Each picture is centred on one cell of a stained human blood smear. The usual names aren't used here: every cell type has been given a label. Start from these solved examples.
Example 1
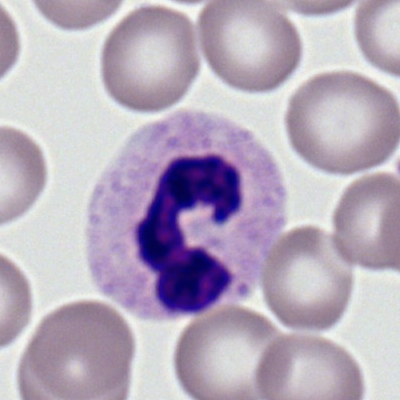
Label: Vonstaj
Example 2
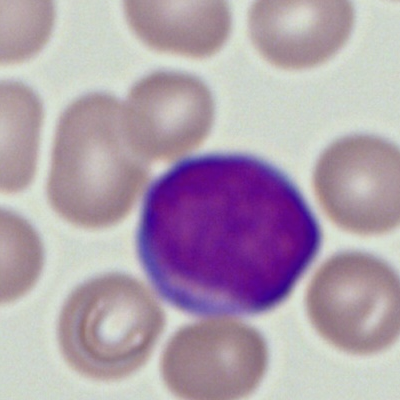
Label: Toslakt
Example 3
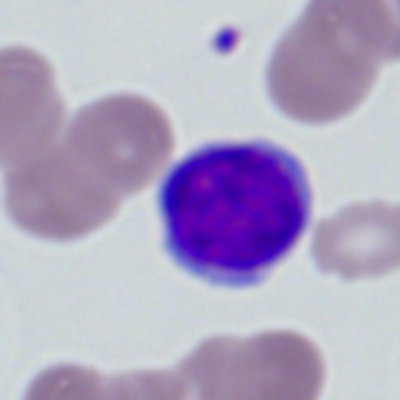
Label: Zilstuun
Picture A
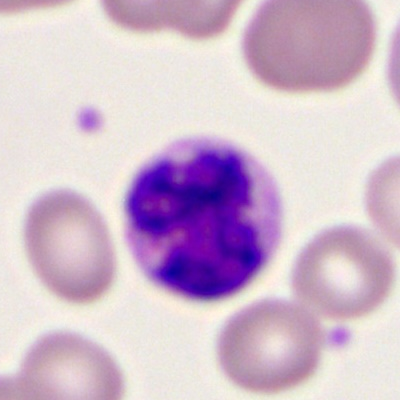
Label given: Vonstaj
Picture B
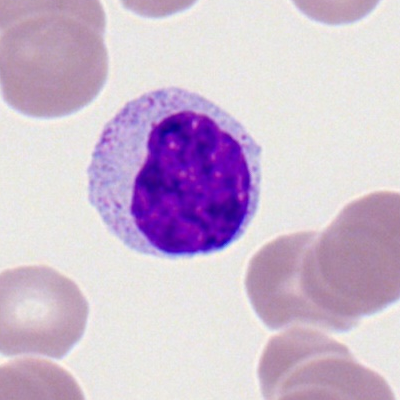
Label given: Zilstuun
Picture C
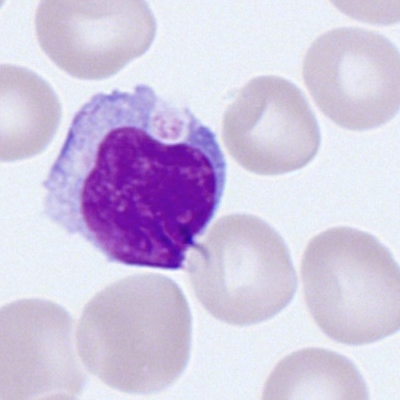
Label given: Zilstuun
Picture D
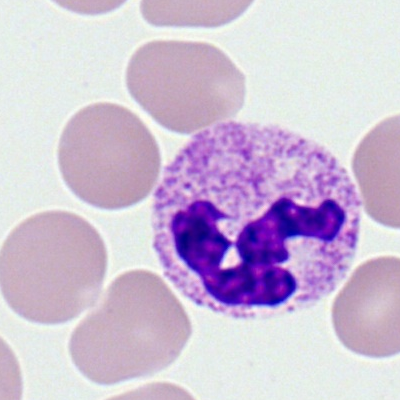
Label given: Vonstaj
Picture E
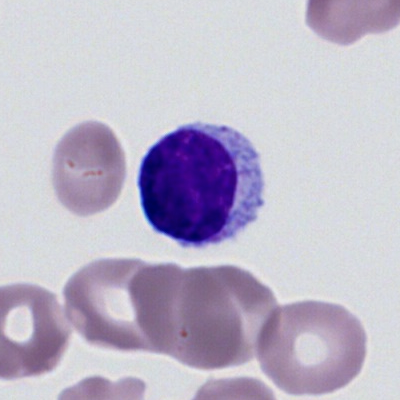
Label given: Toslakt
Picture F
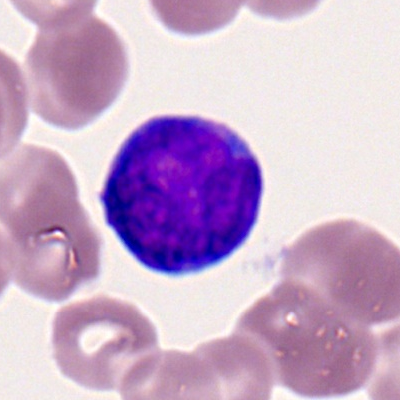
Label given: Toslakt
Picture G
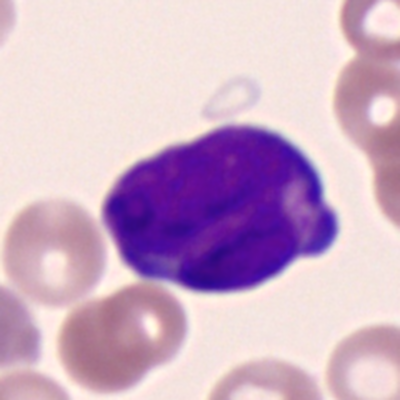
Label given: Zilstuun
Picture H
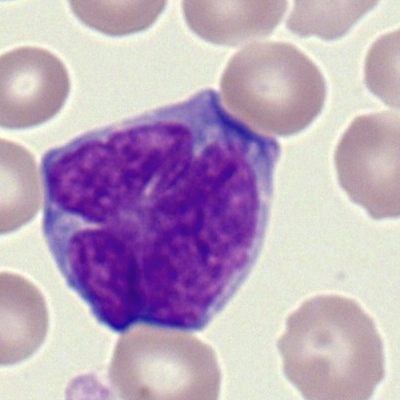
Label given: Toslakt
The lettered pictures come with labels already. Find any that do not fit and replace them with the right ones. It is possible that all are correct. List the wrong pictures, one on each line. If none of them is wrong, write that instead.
E: not Toslakt but Zilstuun
G: not Zilstuun but Toslakt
